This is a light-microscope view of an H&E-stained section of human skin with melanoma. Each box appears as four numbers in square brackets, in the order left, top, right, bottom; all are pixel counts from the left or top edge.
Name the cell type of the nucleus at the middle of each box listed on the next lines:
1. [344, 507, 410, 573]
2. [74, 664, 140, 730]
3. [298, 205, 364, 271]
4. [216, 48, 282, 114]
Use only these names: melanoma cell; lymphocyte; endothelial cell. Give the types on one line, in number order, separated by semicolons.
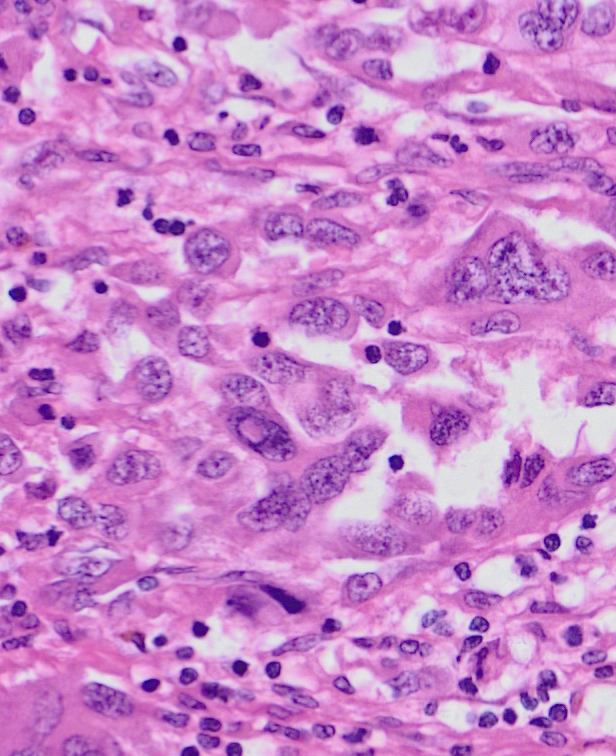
melanoma cell; melanoma cell; melanoma cell; lymphocyte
